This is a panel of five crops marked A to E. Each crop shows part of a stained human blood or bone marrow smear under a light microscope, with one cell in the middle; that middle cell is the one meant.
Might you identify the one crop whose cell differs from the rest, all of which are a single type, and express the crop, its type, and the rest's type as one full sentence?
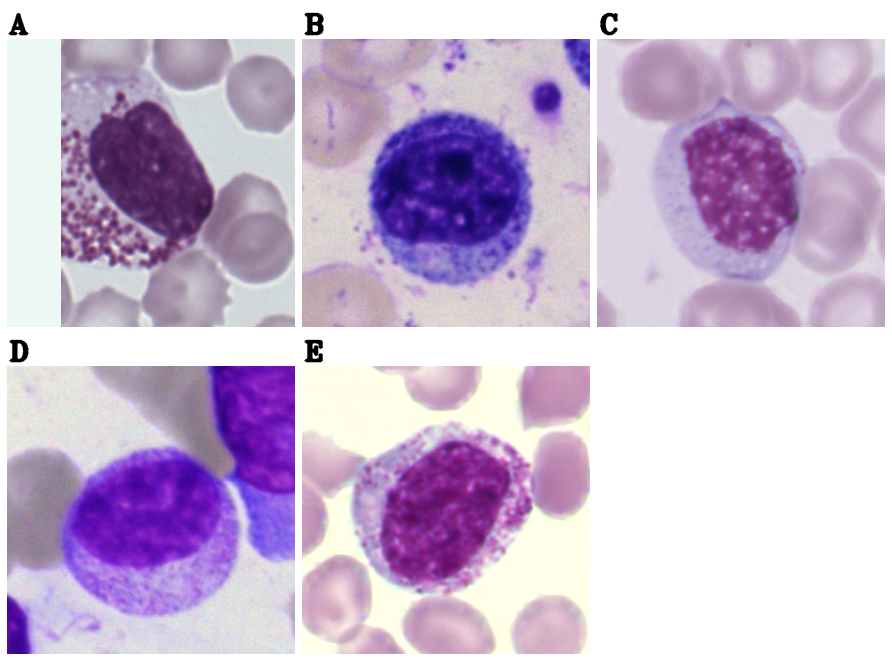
The exception is crop A, with an eosinophil; the remaining crops all show myelocytes.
